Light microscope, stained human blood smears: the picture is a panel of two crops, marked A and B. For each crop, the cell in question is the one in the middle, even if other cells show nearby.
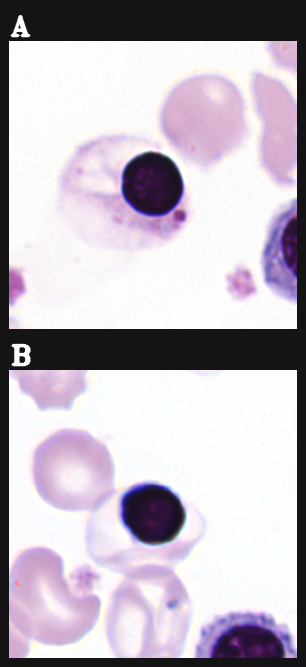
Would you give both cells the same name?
yes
